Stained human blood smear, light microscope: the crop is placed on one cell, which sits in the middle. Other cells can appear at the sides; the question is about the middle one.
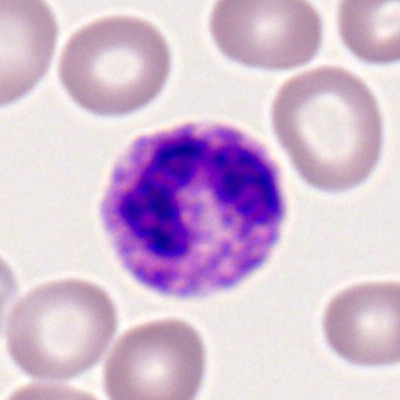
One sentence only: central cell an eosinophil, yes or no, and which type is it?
Yes, the middle cell is properly termed an eosinophil.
